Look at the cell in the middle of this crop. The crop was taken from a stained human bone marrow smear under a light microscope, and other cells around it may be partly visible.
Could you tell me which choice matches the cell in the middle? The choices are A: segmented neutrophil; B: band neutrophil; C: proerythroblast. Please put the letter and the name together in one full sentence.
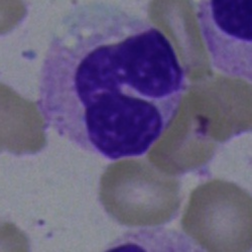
What sits in the middle of the crop is a band neutrophil, and option B is correct.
